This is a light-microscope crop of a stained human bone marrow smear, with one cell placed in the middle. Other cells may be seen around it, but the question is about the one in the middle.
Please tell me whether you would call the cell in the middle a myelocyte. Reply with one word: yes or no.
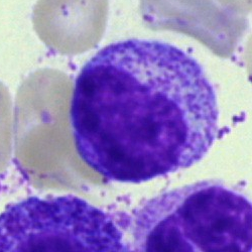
yes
